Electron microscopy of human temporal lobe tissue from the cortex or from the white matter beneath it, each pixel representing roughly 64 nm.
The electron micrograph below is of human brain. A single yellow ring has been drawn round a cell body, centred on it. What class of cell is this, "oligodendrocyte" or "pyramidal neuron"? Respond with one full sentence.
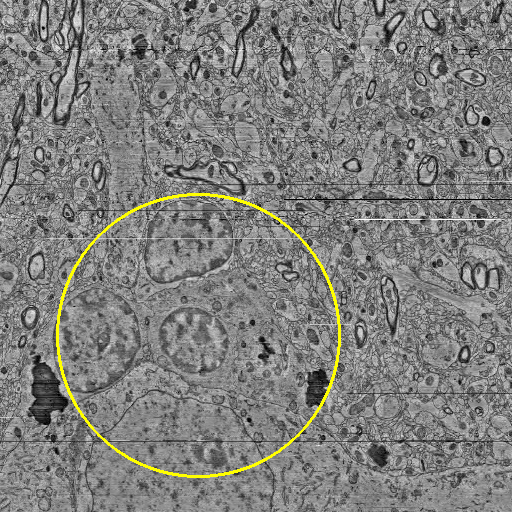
In the micrograph, the cell centred inside the yellow ring is an oligodendrocyte.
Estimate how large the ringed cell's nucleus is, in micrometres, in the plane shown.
The ringed cell's nucleus measures approximately 5 by 4 micrometres in this plane.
